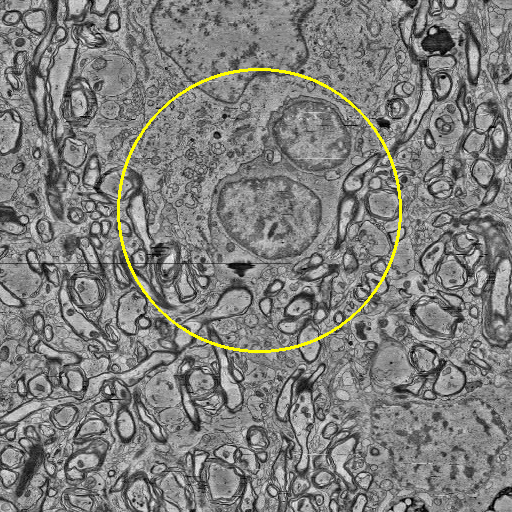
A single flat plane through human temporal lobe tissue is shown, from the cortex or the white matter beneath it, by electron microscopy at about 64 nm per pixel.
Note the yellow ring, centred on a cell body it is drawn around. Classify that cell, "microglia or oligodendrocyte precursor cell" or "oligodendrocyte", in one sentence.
The cell the ring is centred on is an oligodendrocyte.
